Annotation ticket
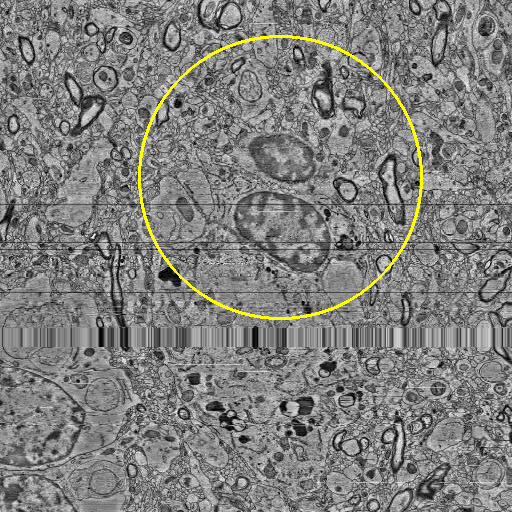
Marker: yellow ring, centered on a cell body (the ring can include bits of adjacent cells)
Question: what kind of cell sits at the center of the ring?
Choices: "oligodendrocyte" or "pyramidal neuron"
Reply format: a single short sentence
The ring is centered on an oligodendrocyte.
